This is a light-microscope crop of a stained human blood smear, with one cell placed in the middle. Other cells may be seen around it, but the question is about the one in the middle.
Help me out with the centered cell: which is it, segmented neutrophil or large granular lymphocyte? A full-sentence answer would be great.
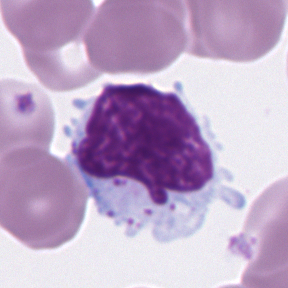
The cell at the middle of the frame should be recorded as a large granular lymphocyte.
